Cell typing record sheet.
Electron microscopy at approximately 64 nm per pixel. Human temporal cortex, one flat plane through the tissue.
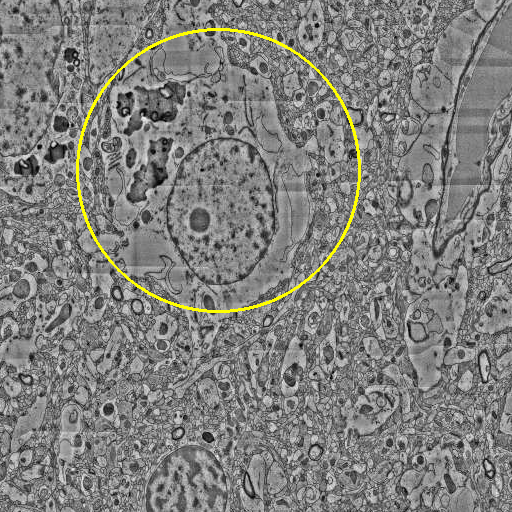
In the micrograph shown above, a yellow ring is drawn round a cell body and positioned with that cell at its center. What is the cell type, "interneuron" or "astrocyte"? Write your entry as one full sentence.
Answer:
The cell body at the center of the ring belongs to an astrocyte.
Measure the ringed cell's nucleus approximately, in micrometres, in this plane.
The ringed cell's nucleus measures approximately 9 by 7 micrometres in this plane.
